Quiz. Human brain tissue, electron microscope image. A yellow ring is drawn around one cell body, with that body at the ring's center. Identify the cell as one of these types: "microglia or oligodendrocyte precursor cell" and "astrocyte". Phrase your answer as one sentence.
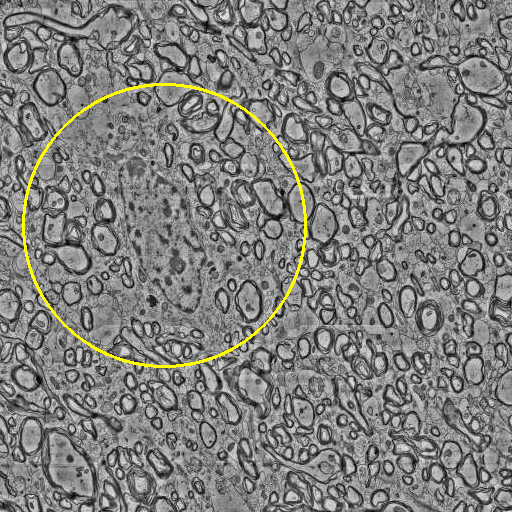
At the center of the ring sits an astrocyte.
